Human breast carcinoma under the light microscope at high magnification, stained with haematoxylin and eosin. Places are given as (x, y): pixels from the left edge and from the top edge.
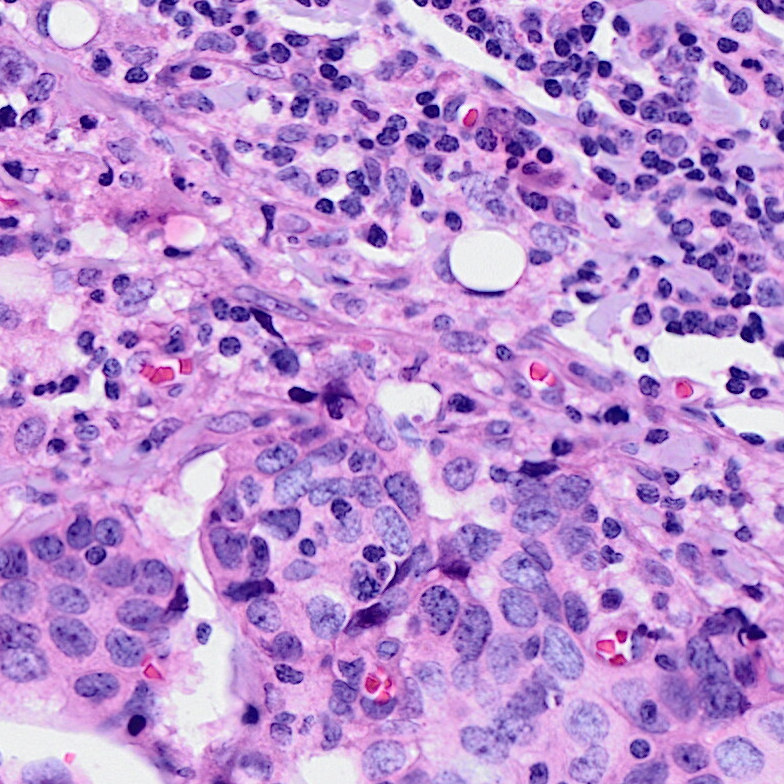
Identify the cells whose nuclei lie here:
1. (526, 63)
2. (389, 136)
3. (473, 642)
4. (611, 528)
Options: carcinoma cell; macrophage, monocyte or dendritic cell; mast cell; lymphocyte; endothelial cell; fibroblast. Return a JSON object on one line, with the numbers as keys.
{"1": "lymphocyte", "2": "lymphocyte", "3": "carcinoma cell", "4": "lymphocyte"}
